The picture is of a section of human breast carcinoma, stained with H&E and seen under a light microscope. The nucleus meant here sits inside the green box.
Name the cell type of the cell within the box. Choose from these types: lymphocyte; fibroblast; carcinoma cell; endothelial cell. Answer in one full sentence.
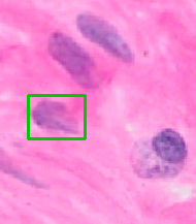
By cell type, the cell within the box is a fibroblast.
